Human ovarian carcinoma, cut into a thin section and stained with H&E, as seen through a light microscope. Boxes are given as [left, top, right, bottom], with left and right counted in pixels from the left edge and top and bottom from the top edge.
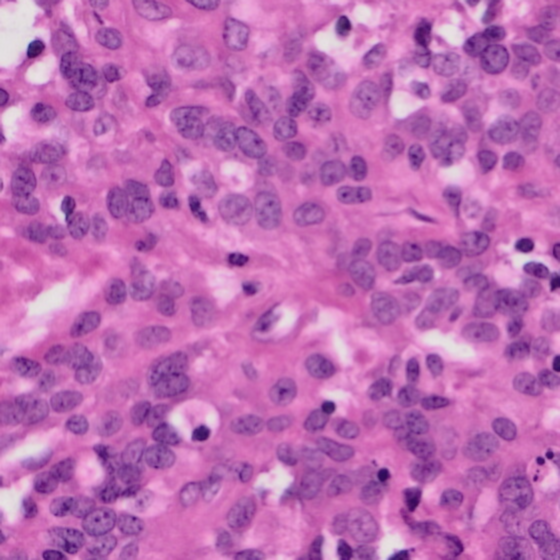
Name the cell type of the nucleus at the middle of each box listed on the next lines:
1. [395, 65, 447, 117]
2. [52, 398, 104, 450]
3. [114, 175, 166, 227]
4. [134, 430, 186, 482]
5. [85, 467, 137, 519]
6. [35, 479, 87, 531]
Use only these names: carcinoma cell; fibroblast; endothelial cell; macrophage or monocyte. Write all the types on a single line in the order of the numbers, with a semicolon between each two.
macrophage or monocyte; macrophage or monocyte; carcinoma cell; carcinoma cell; carcinoma cell; macrophage or monocyte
